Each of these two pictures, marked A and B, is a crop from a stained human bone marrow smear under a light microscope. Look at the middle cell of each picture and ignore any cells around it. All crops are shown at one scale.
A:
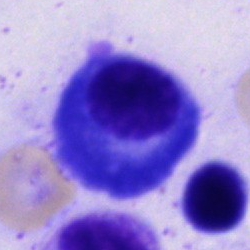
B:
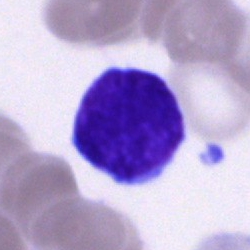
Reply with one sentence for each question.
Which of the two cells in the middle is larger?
The cell in crop A is larger, with about 1.5 times the area of the one in crop B.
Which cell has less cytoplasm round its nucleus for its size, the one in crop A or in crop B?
It is the cell in crop B that is filled more by its nucleus.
